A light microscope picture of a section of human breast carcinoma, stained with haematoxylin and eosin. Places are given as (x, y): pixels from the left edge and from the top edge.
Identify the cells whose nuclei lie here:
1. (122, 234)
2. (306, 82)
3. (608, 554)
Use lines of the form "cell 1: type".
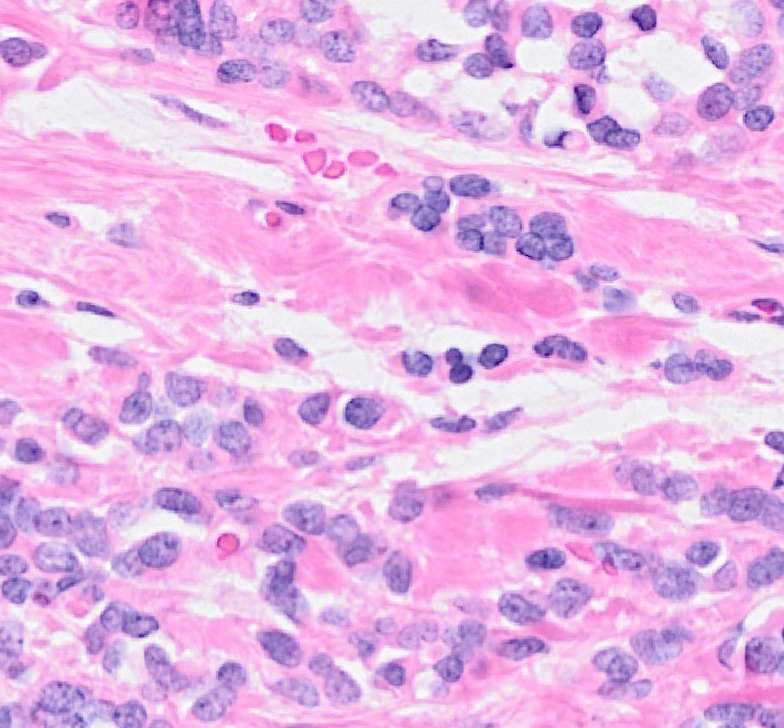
cell 1: fibroblast
cell 2: endothelial cell
cell 3: endothelial cell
